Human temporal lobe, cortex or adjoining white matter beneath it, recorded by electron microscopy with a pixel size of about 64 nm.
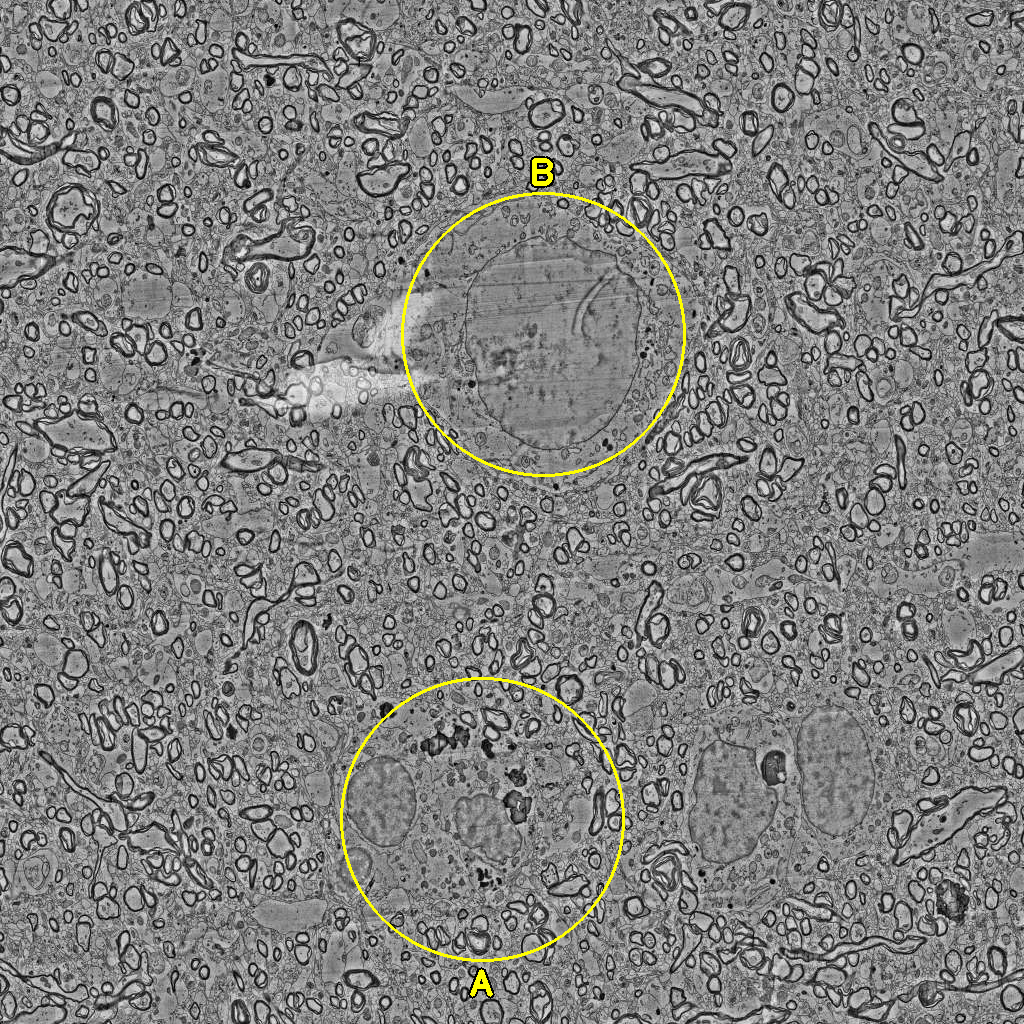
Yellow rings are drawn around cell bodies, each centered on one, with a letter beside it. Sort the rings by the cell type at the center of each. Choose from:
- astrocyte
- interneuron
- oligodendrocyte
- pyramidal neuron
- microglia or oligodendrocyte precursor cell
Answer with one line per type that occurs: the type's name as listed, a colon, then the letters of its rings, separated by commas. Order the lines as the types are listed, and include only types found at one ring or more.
oligodendrocyte: A
pyramidal neuron: B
